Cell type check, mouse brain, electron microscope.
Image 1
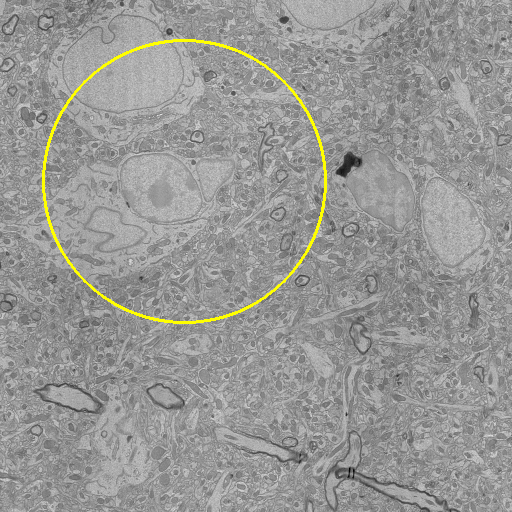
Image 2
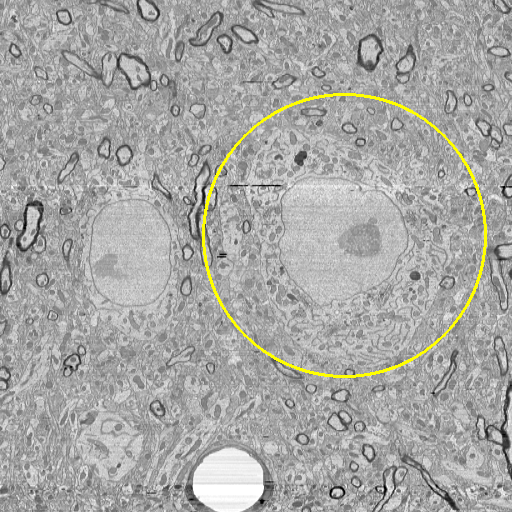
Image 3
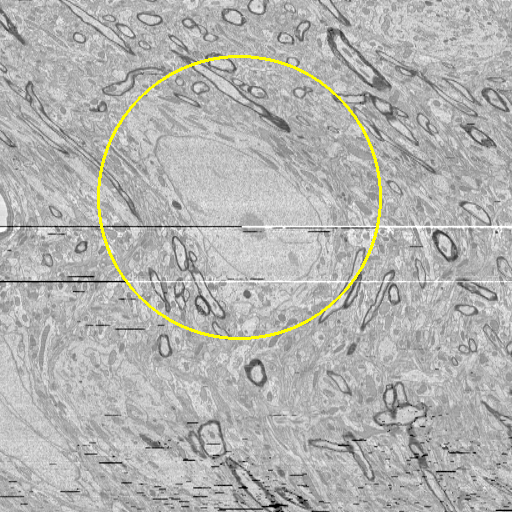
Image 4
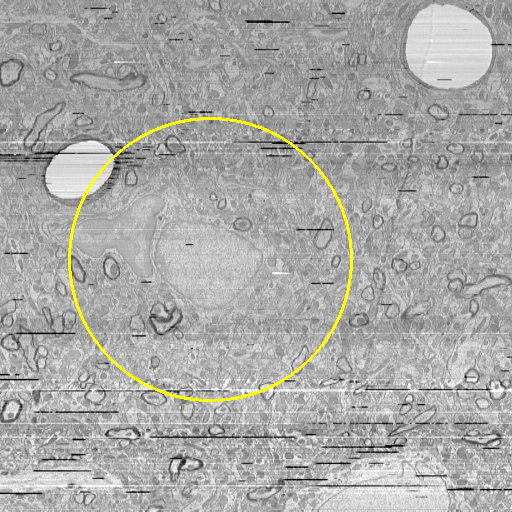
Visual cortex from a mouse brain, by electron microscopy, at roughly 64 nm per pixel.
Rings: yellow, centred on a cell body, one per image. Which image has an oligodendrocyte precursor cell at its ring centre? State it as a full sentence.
The ring in Image 1 is centred on it.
